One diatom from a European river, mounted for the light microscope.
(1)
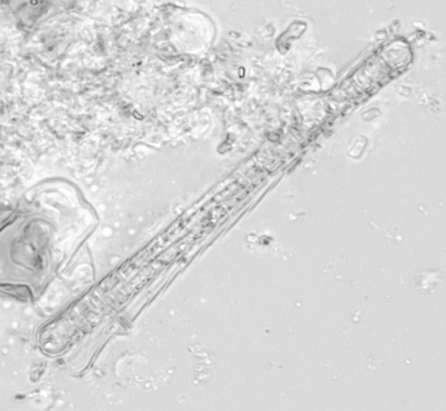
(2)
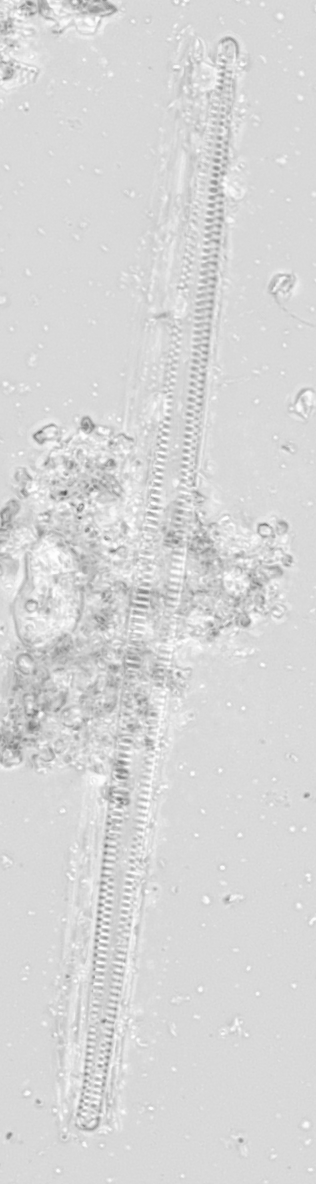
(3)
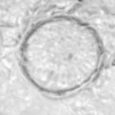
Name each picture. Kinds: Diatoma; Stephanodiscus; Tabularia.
1. Diatoma
2. Tabularia
3. Stephanodiscus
